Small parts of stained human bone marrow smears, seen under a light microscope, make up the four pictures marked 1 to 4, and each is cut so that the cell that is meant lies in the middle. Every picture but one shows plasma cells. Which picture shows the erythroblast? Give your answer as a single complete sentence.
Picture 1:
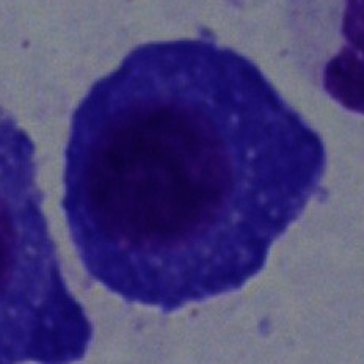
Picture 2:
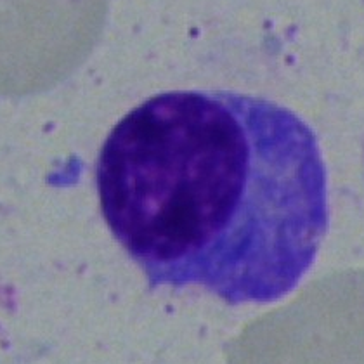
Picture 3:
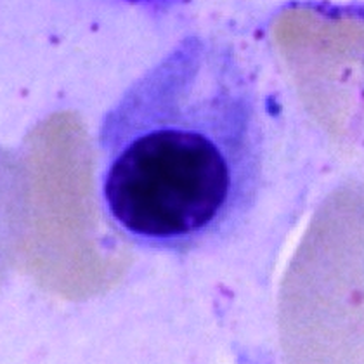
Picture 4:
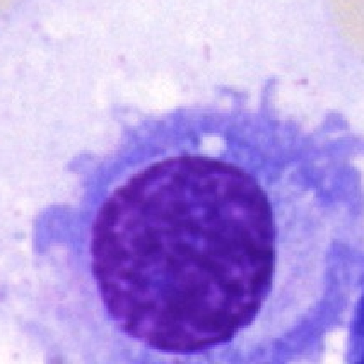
Picture 3 is the one that shows the erythroblast.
